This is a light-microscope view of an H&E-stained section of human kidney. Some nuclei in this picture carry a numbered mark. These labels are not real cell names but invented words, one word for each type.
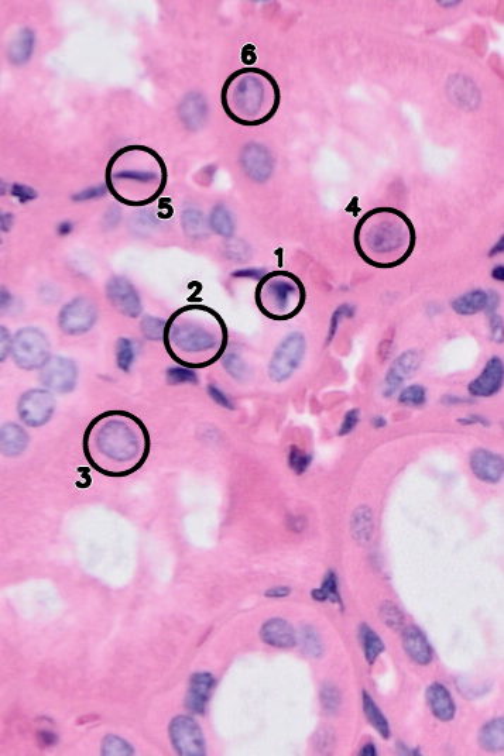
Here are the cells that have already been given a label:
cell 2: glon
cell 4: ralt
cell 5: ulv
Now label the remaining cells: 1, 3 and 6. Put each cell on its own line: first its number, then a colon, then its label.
1: glon
3: ralt
6: ralt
